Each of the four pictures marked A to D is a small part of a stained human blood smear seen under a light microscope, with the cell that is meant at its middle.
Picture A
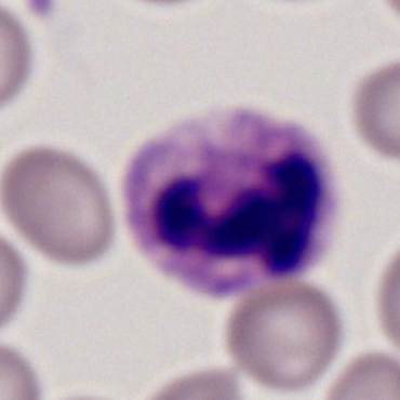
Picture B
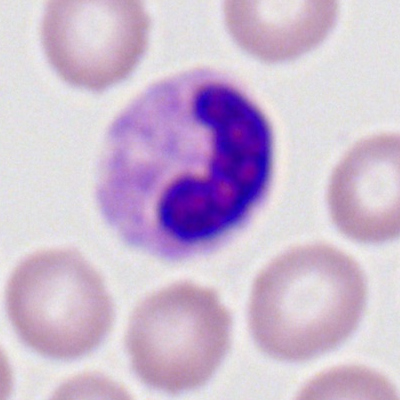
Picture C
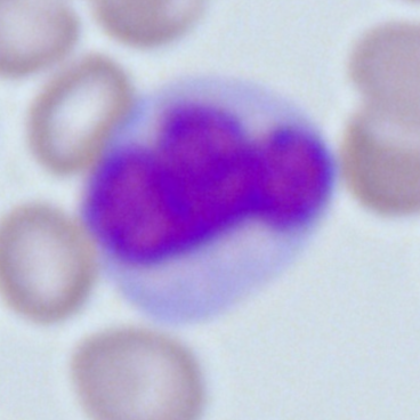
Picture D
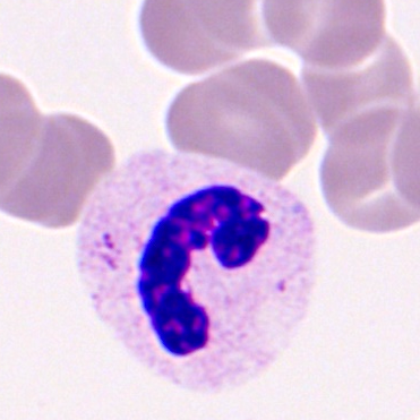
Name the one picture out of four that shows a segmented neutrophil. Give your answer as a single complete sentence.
Picture A is the one that shows the segmented neutrophil.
